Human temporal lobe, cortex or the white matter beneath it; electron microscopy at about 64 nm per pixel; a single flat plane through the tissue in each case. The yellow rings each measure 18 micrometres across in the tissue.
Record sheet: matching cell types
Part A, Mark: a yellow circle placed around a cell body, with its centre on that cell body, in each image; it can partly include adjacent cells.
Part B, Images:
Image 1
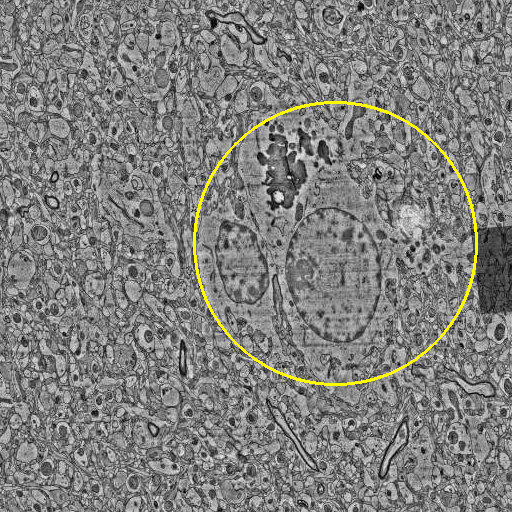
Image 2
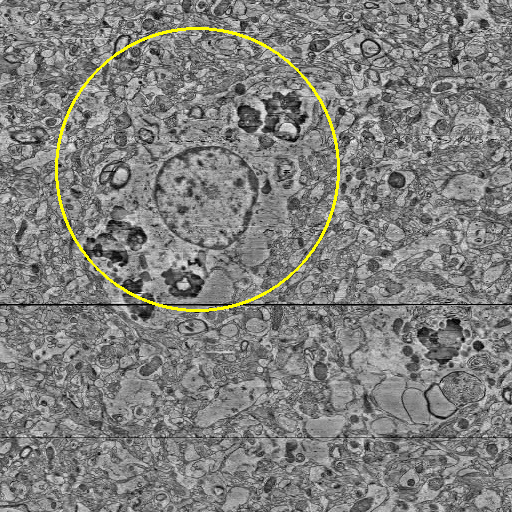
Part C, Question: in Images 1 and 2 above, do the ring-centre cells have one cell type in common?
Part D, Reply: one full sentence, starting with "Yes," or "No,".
Yes, the ring-centre cells of Image 1 and Image 2 are both of a single cell type.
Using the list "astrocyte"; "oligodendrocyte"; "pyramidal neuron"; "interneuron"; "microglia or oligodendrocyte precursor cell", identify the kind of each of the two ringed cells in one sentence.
Each of the two pictures has an astrocyte at the ring centre.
